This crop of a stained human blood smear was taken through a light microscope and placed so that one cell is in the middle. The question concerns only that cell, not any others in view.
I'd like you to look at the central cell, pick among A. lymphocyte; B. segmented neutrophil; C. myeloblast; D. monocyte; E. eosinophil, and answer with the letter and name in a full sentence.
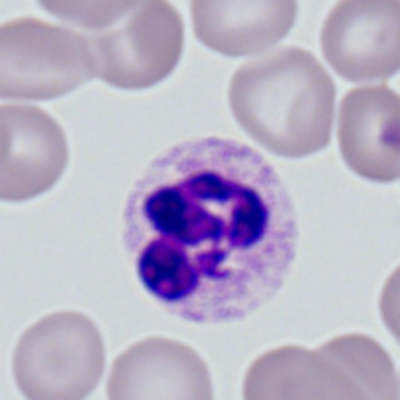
The centrally positioned cell is a segmented neutrophil, consistent with option B, which is correct.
